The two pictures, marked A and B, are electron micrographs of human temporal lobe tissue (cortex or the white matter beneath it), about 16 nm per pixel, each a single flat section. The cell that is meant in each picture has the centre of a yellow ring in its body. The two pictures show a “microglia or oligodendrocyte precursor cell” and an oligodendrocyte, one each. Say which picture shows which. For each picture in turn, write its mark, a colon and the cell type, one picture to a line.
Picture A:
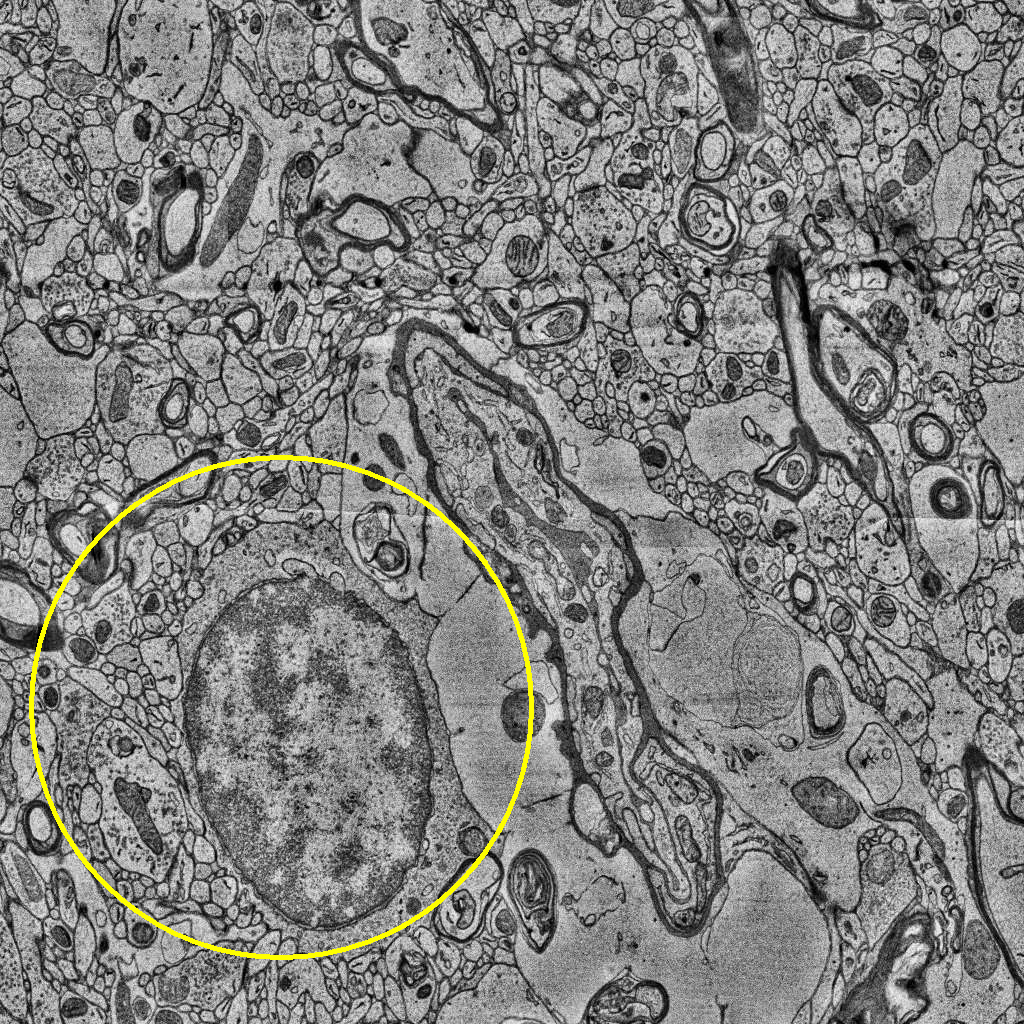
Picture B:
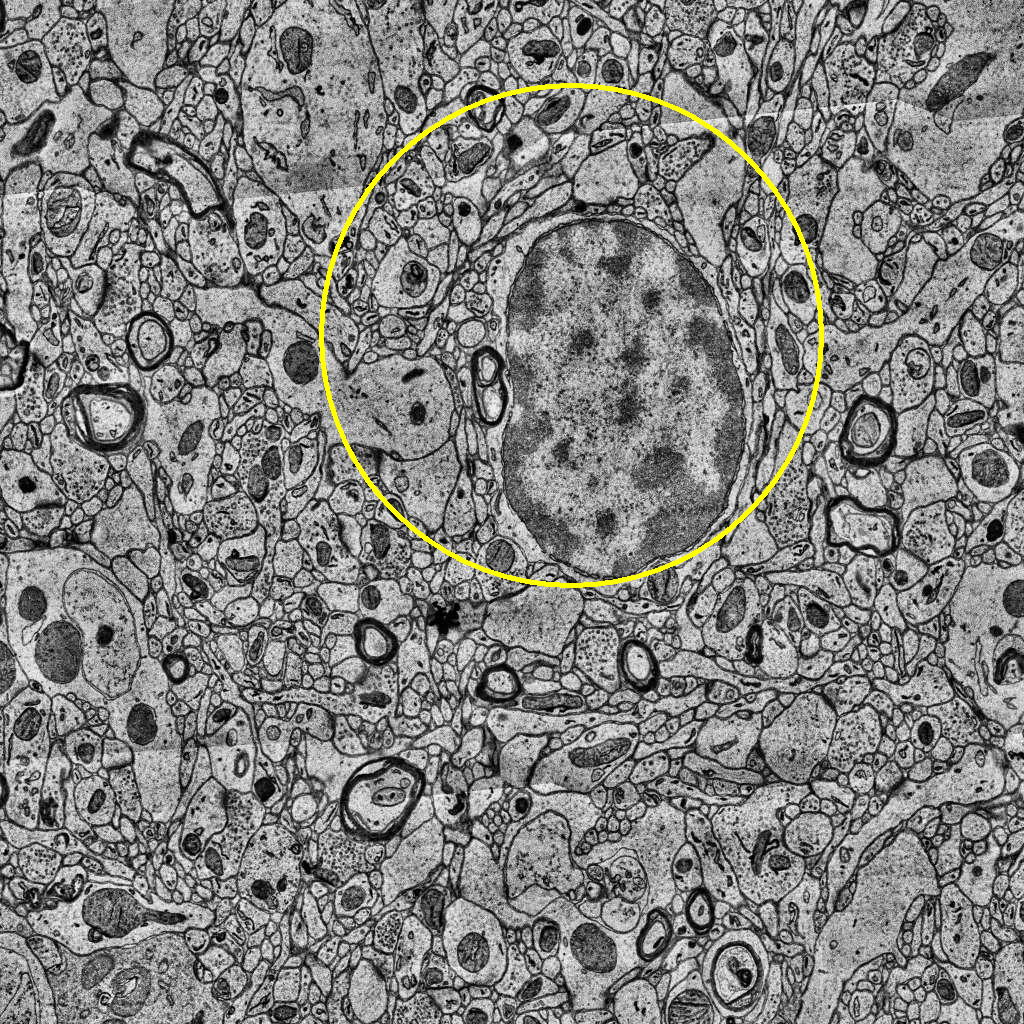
A: oligodendrocyte
B: microglia or oligodendrocyte precursor cell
